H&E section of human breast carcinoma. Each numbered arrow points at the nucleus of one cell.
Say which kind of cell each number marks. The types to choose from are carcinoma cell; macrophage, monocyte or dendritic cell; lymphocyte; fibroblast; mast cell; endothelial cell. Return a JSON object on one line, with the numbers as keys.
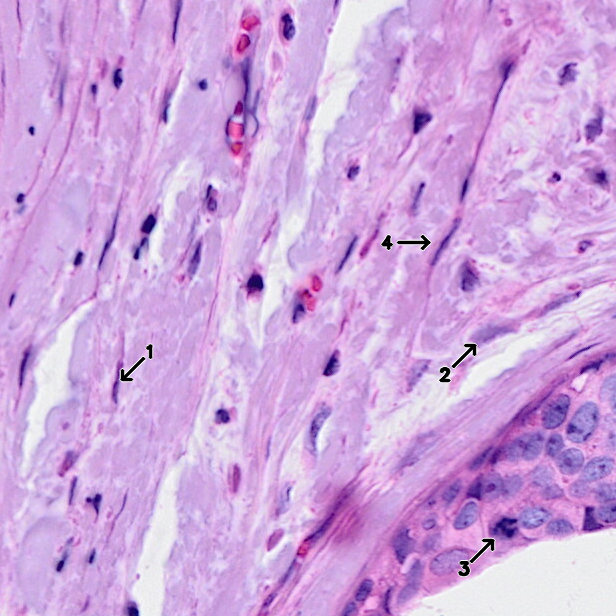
{"1": "fibroblast", "2": "fibroblast", "3": "carcinoma cell", "4": "fibroblast"}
